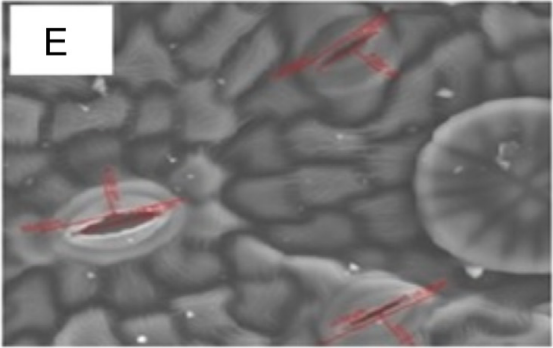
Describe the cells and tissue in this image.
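The leaf surface is a mosaic of irregular, polygonal epidermal cells with sunken boundaries. At the left an elliptic pore bordered by two kidney-shaped guard cells stands raised above the surrounding cells, which look like ordinary epidermal cells with no distinct subsidiary cells. At the right lies a large round plate with radiating grooves, a flat disc-shaped trichome.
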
